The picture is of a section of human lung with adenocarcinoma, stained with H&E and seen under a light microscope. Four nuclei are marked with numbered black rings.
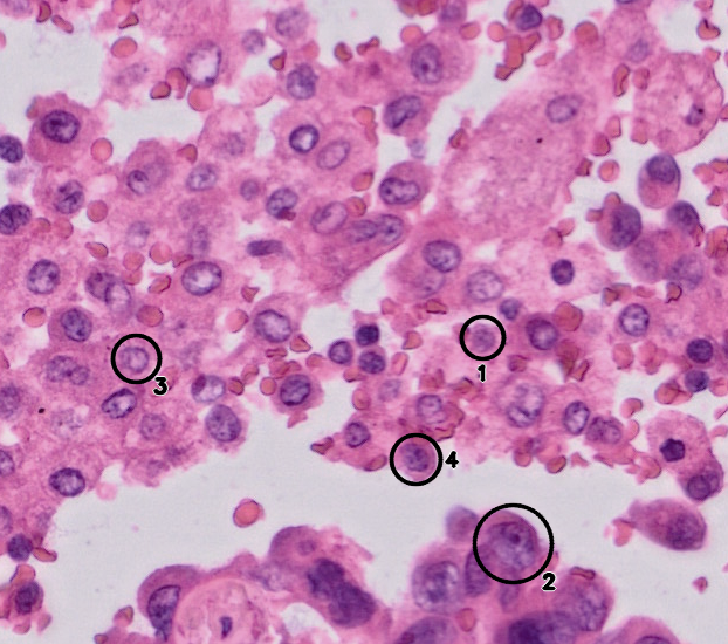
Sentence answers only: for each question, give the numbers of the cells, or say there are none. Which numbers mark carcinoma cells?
Of the cells carrying numbers, just cell 2 is a carcinoma cell.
